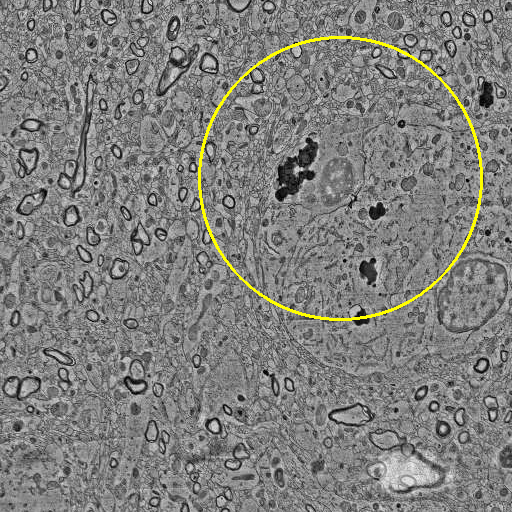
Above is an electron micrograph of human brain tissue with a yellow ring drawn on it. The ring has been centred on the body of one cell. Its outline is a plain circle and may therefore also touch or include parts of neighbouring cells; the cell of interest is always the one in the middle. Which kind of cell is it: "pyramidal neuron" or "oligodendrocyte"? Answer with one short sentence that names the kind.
The ring's central cell body is that of an oligodendrocyte.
